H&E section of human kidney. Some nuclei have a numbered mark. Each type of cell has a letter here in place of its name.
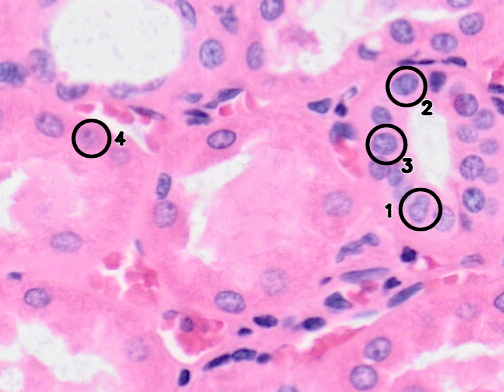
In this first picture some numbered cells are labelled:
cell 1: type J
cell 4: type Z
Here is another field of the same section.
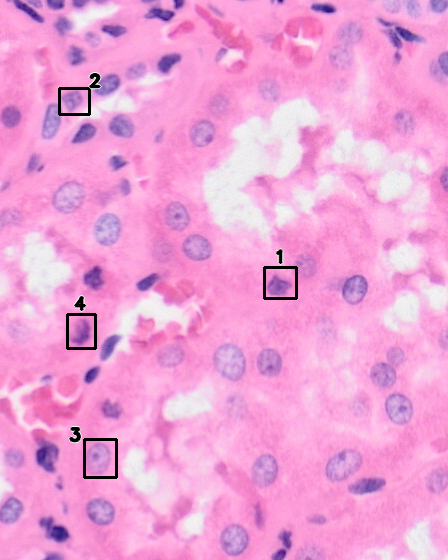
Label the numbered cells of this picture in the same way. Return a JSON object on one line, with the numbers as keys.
{"1": "type Z", "2": "type J", "3": "type Z", "4": "type Z"}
